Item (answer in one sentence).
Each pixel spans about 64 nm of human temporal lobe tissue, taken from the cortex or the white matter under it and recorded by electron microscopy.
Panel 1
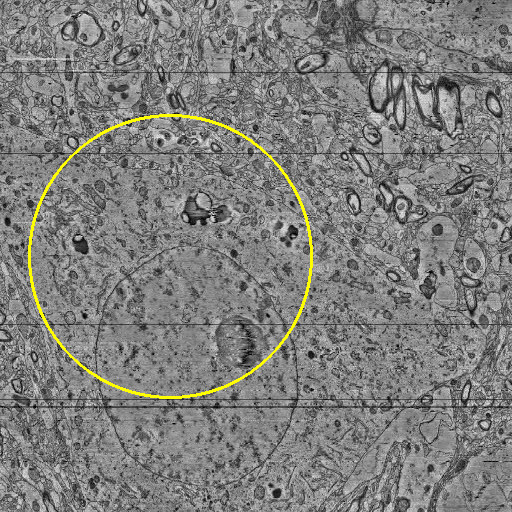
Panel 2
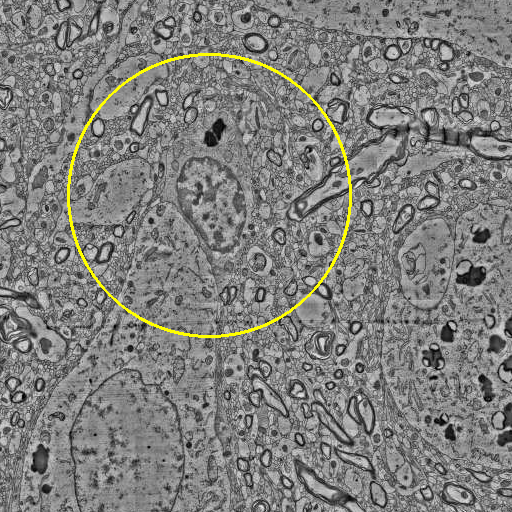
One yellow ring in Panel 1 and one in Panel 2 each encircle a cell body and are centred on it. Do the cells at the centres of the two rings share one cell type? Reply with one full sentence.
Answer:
No, Panel 1 and Panel 2 show cells of two types at the centres of their rings.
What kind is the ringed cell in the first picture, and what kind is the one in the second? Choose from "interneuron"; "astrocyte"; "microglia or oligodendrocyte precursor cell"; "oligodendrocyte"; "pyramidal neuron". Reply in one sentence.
The first cell is a pyramidal neuron; the second is an oligodendrocyte.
